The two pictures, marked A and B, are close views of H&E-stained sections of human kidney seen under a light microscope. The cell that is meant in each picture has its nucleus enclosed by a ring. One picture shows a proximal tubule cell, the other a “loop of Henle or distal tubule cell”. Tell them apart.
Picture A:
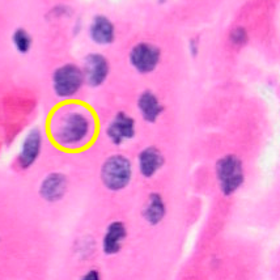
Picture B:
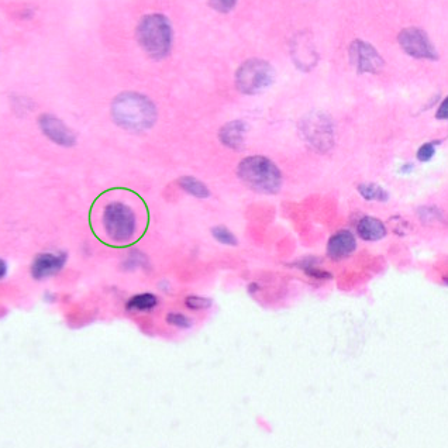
A: loop of Henle or distal tubule cell
B: proximal tubule cell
